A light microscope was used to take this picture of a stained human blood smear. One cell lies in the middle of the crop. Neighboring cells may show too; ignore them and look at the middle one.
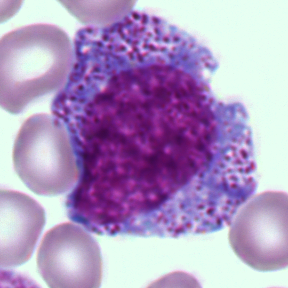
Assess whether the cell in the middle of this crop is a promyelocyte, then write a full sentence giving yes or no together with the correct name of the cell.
Yes, centred in the crop is a promyelocyte.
